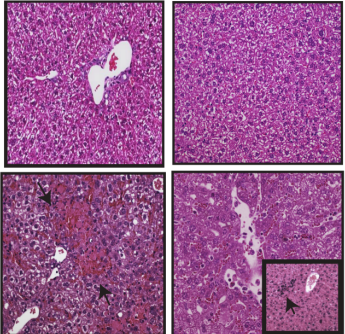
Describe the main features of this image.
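These are liver sections stained pink and purple, with cords of polygonal hepatocytes bearing round dark nuclei arranged around vessels with open lumens. In the top row the plates look orderly and evenly stained. In the lower left image the parenchyma is disrupted, with pale, vacuolated cells and patches of deep red, while the lower right image looks more preserved and carries a framed inset with a small cluster of dark nuclei near a vessel, a focus of cellular infiltration.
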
